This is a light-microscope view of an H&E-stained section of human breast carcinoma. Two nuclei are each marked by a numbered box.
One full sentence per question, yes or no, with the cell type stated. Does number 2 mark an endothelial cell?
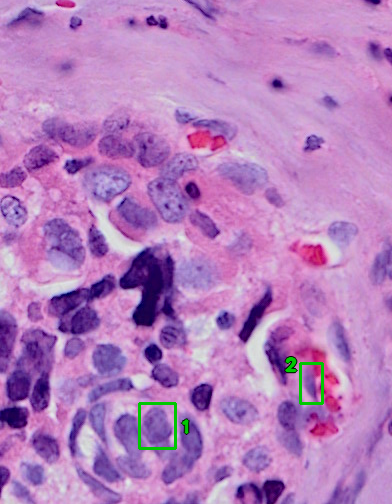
Yes, the cell whose nucleus carries number 2 is an endothelial cell.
